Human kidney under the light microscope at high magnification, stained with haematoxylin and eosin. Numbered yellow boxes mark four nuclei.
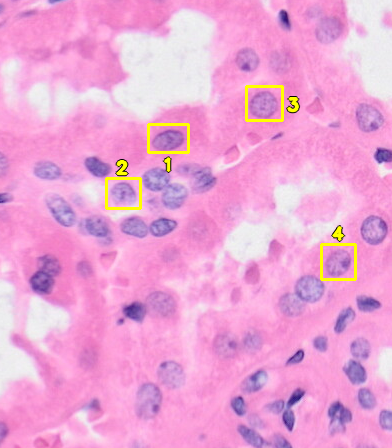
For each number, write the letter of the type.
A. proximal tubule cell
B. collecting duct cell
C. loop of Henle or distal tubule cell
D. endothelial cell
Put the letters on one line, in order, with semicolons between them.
A; B; A; A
